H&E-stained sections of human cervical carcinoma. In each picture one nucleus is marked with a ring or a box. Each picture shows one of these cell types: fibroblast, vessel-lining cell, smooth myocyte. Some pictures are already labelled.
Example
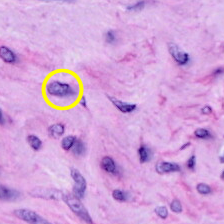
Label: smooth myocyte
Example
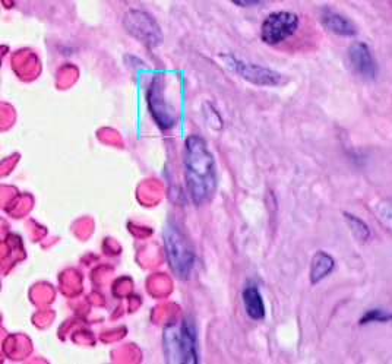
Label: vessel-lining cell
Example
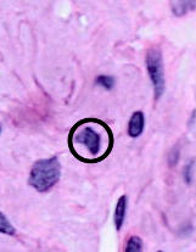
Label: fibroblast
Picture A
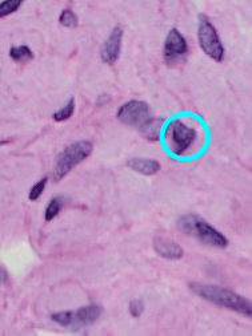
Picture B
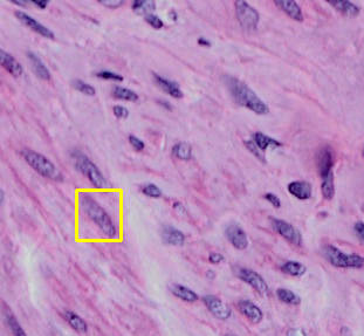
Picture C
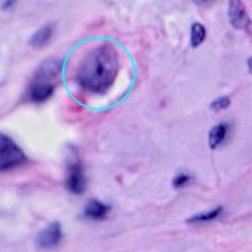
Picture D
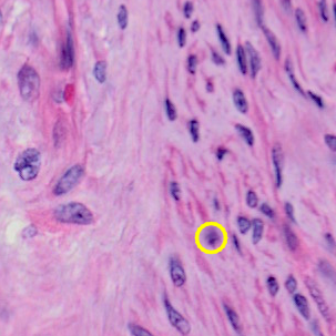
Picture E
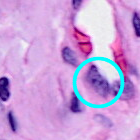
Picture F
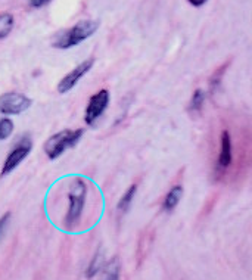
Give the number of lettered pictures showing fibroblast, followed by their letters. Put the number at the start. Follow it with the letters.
Count: 1 (A)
